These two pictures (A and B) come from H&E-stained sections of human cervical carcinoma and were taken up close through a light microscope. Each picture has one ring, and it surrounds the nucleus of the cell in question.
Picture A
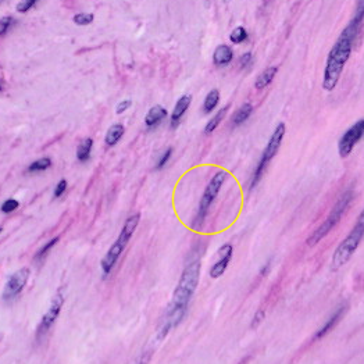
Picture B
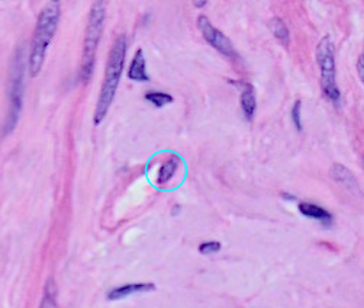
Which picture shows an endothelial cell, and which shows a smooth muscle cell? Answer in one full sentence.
It is picture A that shows a smooth muscle cell, and picture B that shows an endothelial cell.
